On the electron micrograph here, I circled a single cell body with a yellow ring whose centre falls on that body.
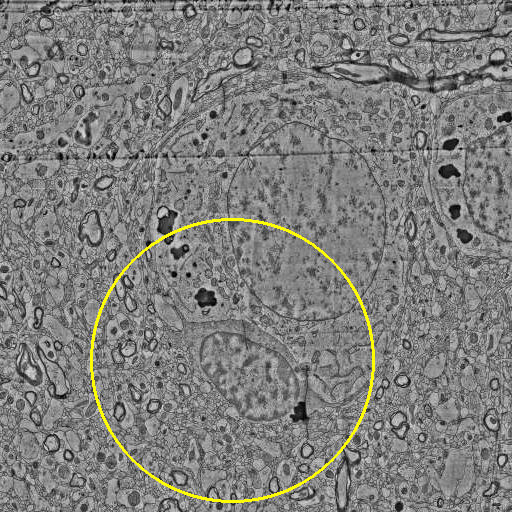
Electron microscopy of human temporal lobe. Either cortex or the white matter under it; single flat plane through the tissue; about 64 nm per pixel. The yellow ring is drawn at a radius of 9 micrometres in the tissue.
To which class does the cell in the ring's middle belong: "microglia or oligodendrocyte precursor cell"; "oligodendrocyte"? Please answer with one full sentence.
In this picture, the cell body circled at the ring's centre belongs to an oligodendrocyte.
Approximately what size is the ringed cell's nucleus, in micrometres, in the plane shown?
In this plane the nucleus is clearly longer than it is wide, at approximately 7 by 4 micrometres.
